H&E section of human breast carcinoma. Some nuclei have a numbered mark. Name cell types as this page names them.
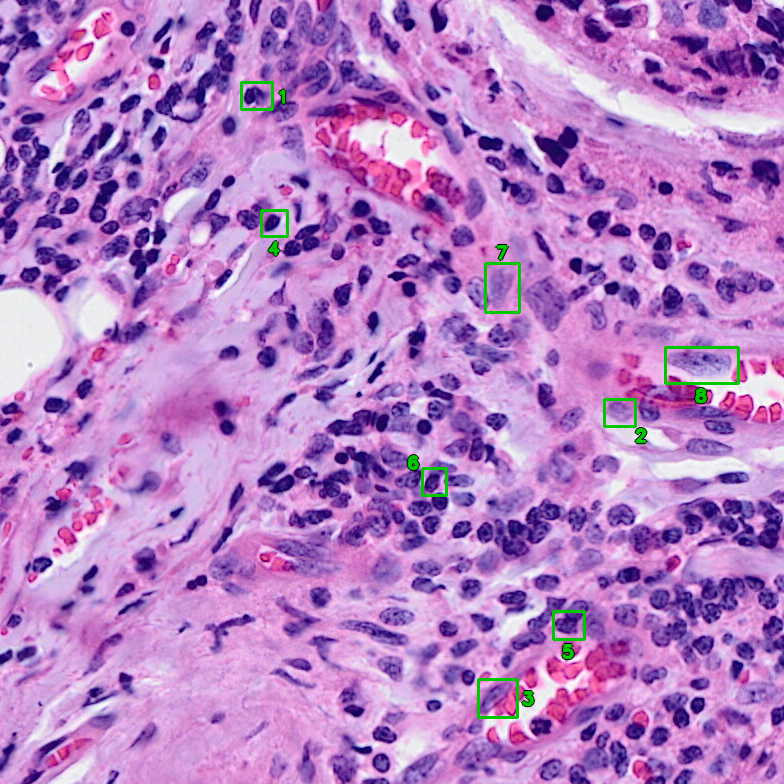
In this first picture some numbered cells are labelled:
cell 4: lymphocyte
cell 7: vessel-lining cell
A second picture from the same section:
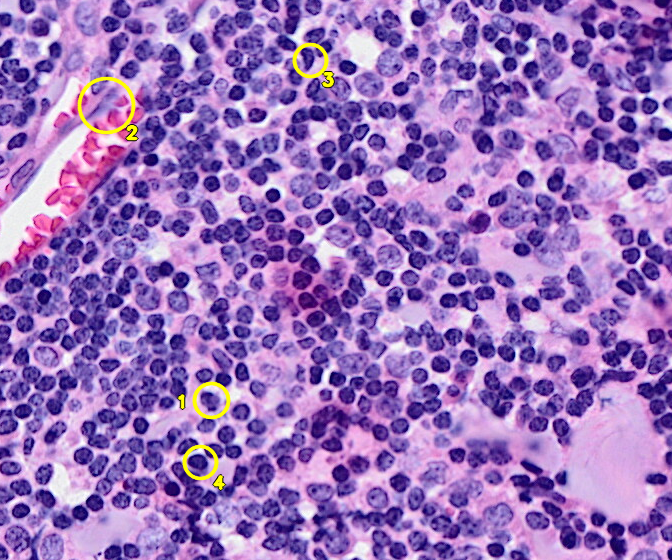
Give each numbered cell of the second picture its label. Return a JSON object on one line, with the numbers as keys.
{"1": "lymphocyte", "2": "vessel-lining cell", "3": "lymphocyte", "4": "lymphocyte"}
